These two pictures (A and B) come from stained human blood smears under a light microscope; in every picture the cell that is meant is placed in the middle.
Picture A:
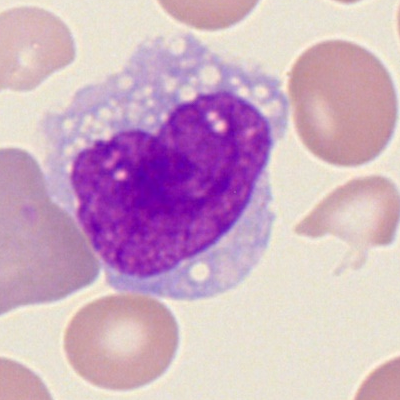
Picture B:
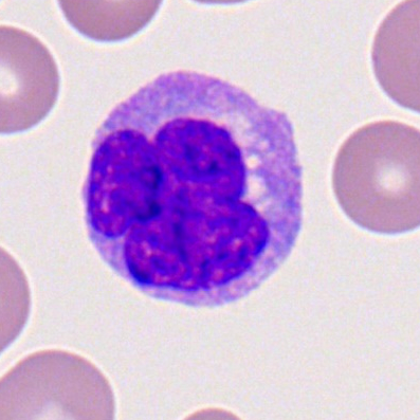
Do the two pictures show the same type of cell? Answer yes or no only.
yes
